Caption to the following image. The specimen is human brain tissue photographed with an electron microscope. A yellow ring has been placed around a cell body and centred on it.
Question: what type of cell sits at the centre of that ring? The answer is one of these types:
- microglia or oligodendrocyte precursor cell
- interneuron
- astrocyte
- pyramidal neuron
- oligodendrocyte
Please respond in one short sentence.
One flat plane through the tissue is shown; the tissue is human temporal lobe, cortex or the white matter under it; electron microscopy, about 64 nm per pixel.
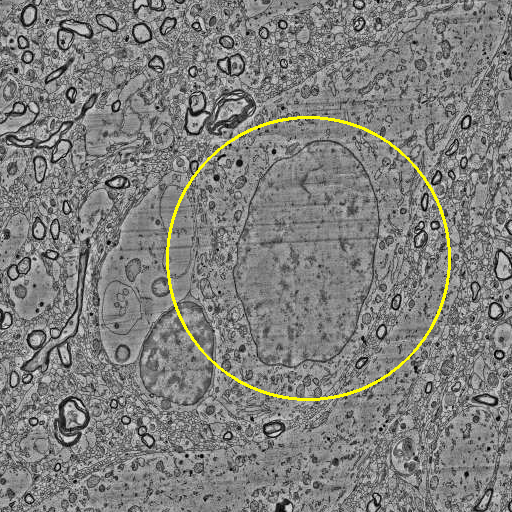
The ring surrounds the cell body of a pyramidal neuron.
